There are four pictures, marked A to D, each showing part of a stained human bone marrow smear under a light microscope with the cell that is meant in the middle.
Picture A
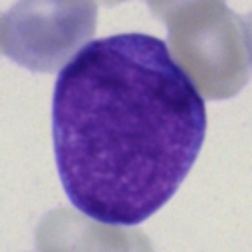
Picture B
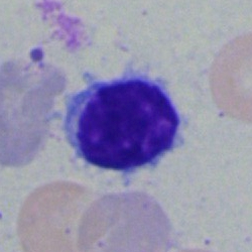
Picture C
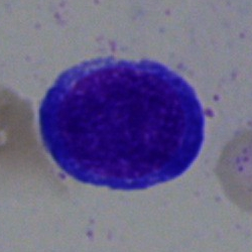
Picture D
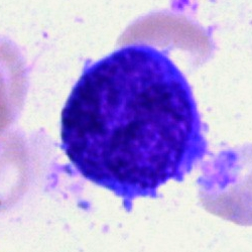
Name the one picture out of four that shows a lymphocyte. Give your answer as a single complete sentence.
It is picture B that shows the lymphocyte.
